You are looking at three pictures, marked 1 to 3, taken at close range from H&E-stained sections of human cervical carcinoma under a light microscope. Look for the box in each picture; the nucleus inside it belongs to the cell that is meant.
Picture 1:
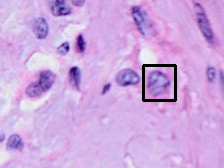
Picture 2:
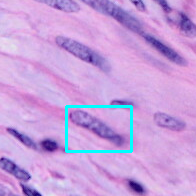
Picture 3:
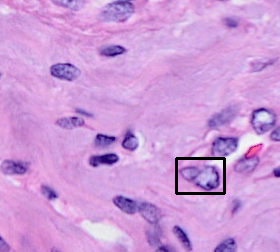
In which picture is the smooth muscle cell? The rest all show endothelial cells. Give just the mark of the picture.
2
